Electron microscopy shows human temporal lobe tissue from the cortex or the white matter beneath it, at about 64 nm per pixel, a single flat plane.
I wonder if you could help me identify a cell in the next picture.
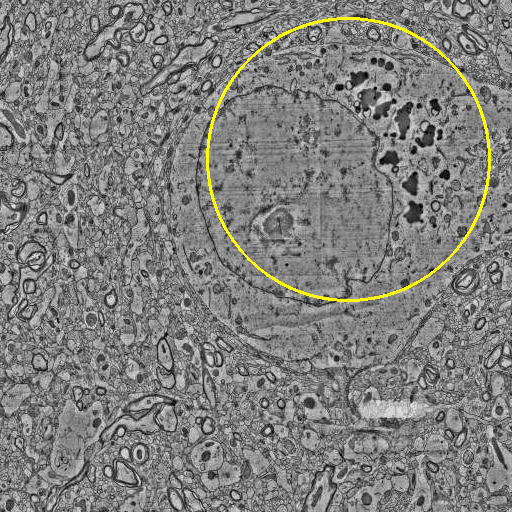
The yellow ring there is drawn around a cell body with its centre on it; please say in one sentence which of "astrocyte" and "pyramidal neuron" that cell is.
The yellow ring is centred on a pyramidal neuron.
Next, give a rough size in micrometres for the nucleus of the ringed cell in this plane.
The nucleus of the ringed cell is approximately 15 by 12 micrometres in this plane.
